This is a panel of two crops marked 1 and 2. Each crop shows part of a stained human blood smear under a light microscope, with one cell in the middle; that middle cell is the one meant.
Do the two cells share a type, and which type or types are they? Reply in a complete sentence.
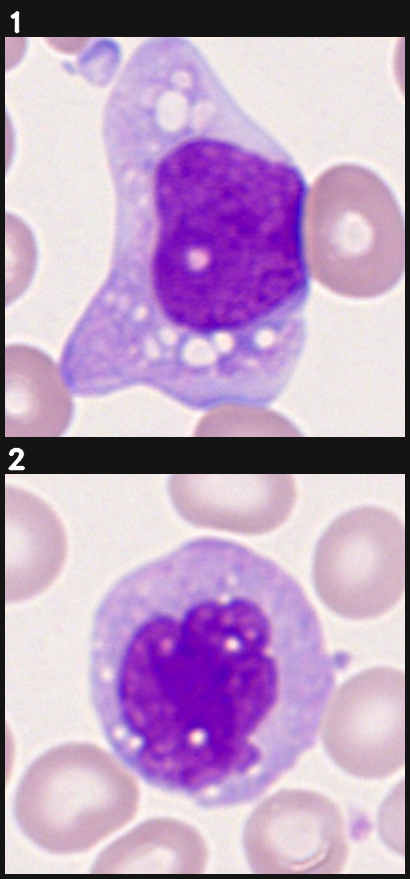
Yes, at the centre of both crops are monocytes.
